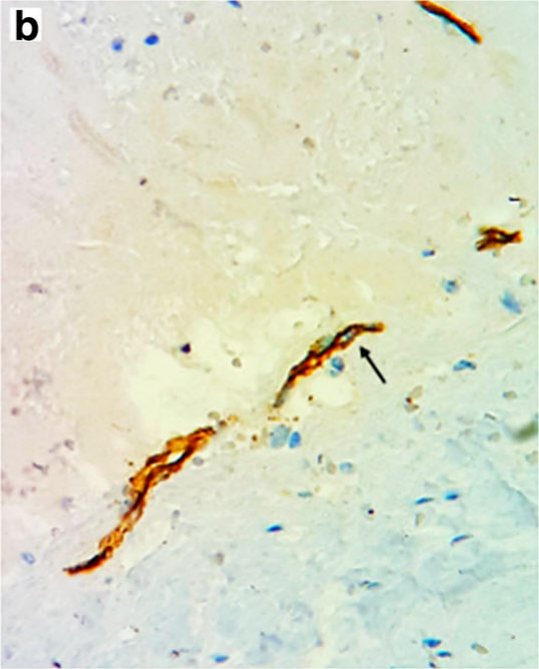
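At higher magnification, flattened endothelial cells form a thin, winding channel in pale, loose tissue. The cells are elongated and thin, with their membranes stained brown along the length of the channel. A few small blue nuclei lie scattered in the surrounding pale matrix.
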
